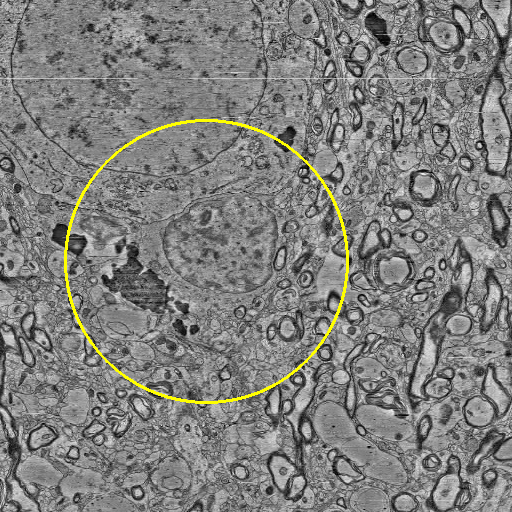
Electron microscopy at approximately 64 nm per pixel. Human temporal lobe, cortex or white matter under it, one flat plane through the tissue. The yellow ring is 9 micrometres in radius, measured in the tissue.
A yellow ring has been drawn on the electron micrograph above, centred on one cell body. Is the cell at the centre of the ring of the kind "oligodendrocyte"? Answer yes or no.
yes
